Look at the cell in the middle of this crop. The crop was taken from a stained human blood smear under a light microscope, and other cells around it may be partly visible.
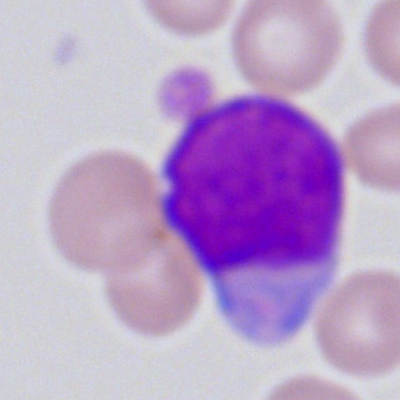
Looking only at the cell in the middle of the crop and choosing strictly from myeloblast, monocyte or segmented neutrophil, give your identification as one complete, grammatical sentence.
Standing at the centre of this crop is a myeloblast.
